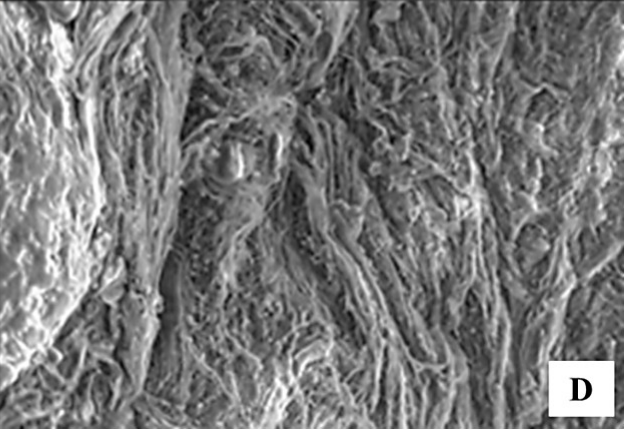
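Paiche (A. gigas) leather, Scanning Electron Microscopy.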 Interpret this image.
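The fibers gather into elongated bundles that run mostly in parallel from top to bottom, with finer strands weaving between them. The surface is uneven, with ridges and small granular bits, and no covering layer of epidermal cells is present.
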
